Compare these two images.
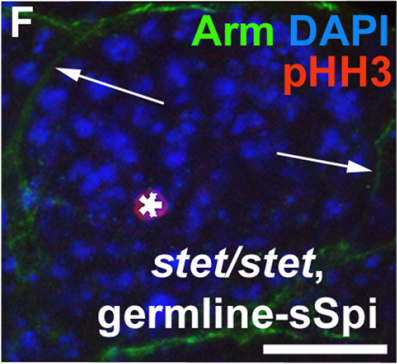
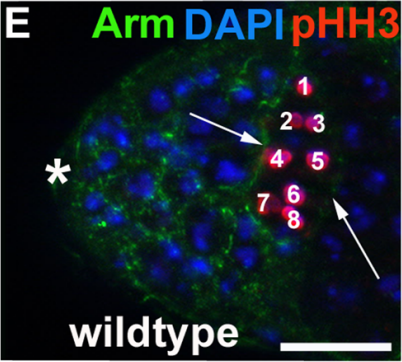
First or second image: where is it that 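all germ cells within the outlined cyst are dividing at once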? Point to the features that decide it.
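The second image. First image: a large green-outlined cluster of many blue nuclei contains only one red condensed nucleus. Second image: a group of eight red condensed nuclei lies together within one outlined cluster.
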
